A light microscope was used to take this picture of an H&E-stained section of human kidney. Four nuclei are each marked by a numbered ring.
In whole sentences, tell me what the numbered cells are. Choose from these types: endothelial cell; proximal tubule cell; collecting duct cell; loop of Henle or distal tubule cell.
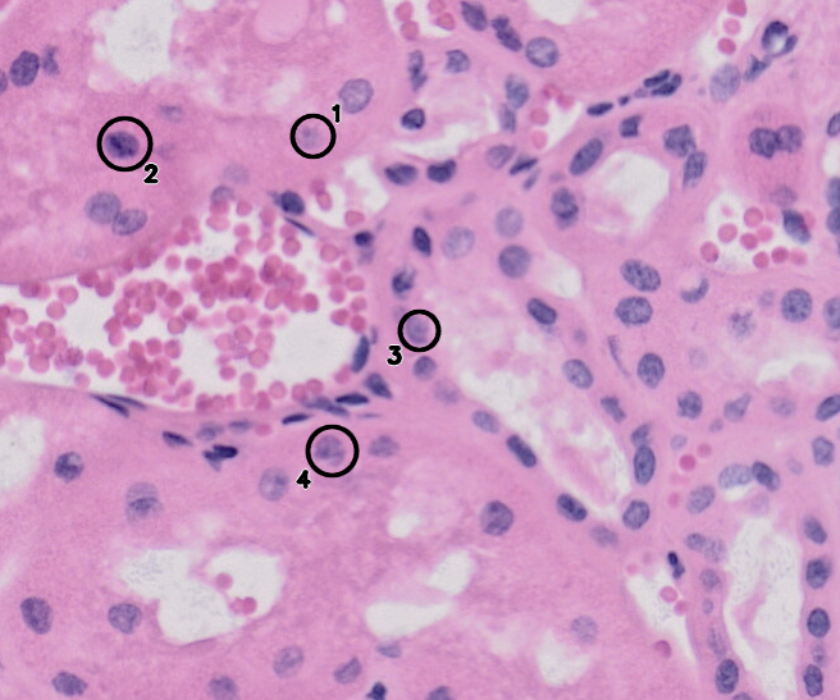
Cell 1 is a proximal tubule cell, cell 2 is a proximal tubule cell, cell 3 is a collecting duct cell and cell 4 is a proximal tubule cell.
